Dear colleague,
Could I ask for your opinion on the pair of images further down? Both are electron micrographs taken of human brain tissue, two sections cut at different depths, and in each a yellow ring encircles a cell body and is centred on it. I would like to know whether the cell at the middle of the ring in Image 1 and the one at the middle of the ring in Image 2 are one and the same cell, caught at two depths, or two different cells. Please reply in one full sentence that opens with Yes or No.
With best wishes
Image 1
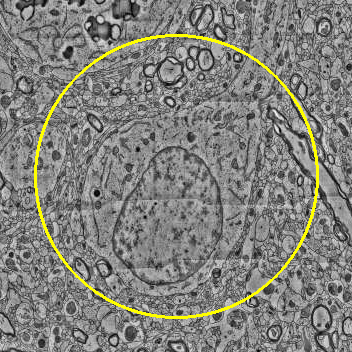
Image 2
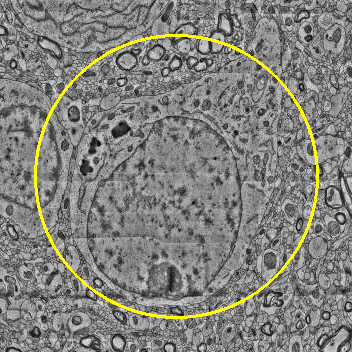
Yes, one and the same cell lies under both rings.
